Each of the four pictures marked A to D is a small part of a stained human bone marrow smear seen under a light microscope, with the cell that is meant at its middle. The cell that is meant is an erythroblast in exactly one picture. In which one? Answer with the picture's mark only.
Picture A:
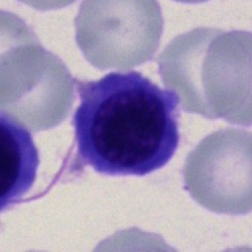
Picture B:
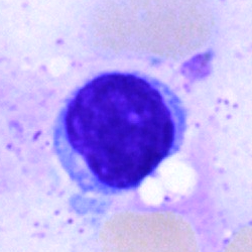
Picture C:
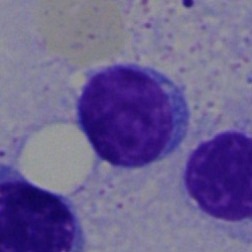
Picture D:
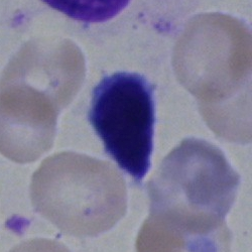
A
